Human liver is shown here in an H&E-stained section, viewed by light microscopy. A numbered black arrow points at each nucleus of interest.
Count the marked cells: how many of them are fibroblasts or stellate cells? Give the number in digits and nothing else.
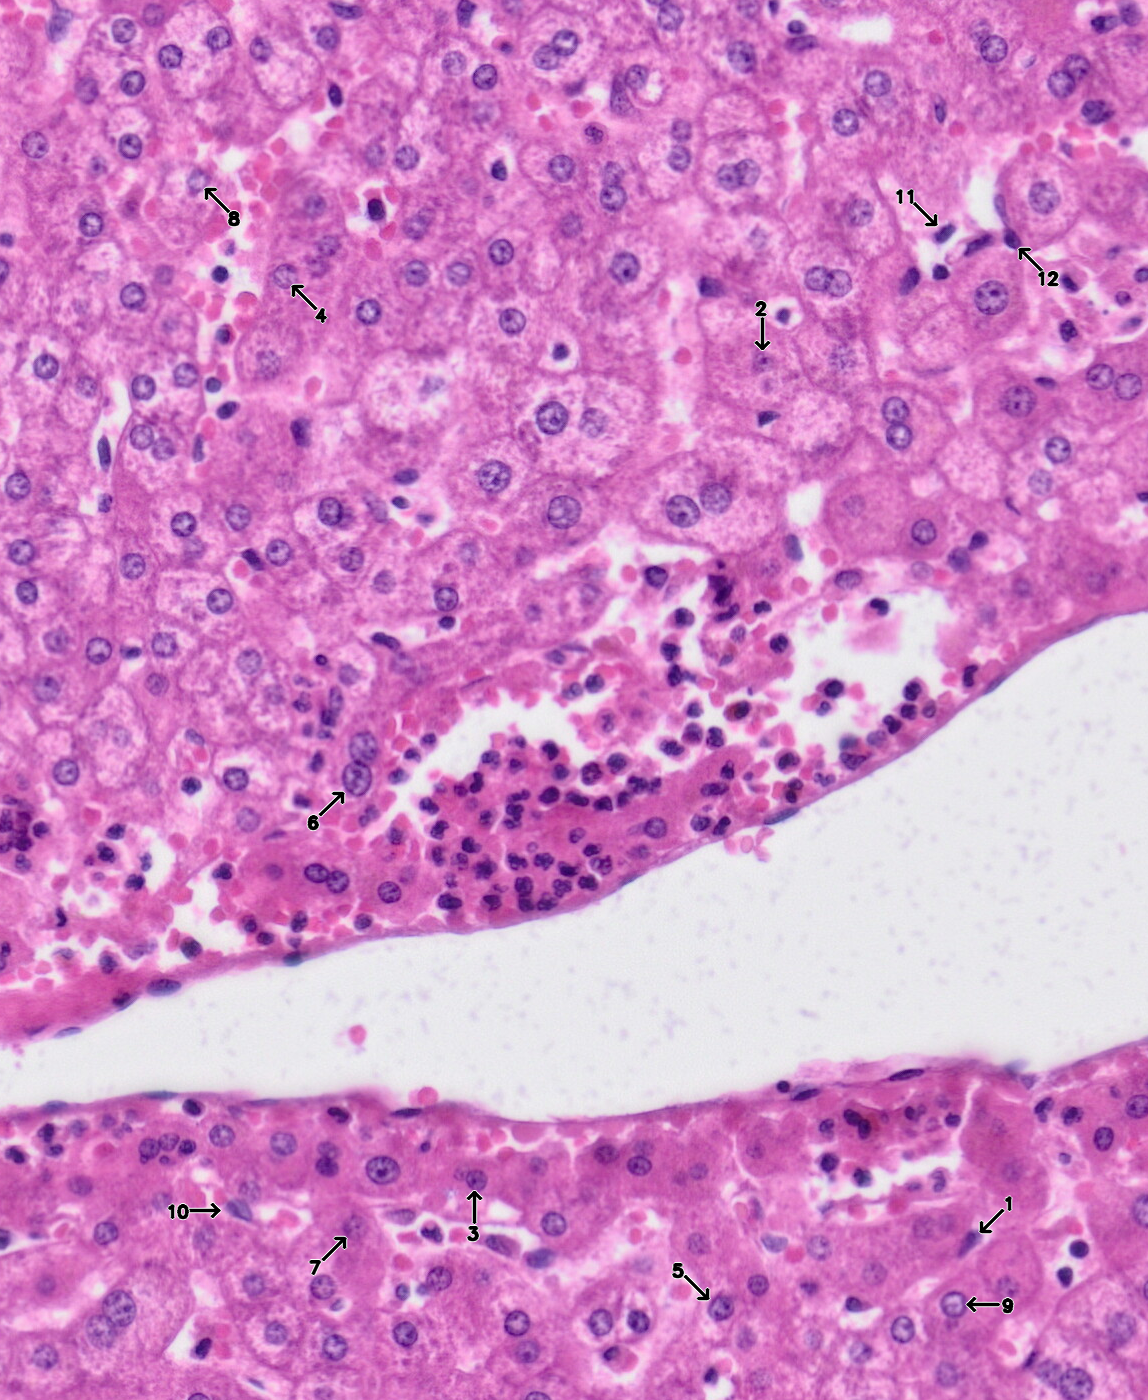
1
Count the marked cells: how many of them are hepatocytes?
7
